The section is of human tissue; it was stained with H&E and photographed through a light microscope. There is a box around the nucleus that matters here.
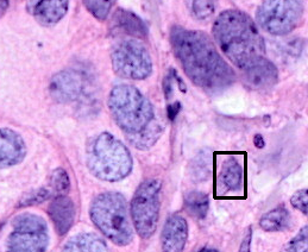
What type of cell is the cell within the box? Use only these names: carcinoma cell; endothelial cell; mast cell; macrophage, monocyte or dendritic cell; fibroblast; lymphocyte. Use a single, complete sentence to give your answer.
In this tissue sample, the cell within the box is a macrophage, monocyte or dendritic cell.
